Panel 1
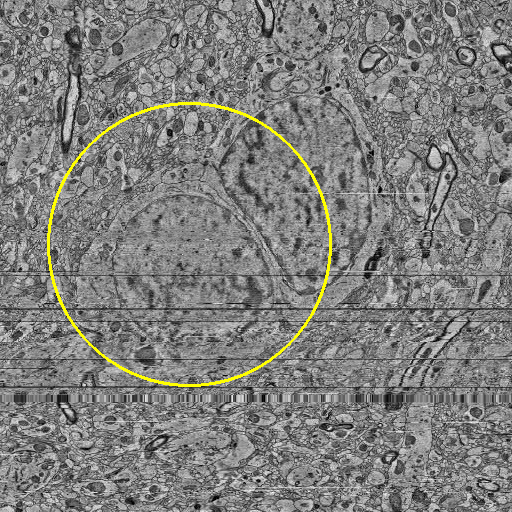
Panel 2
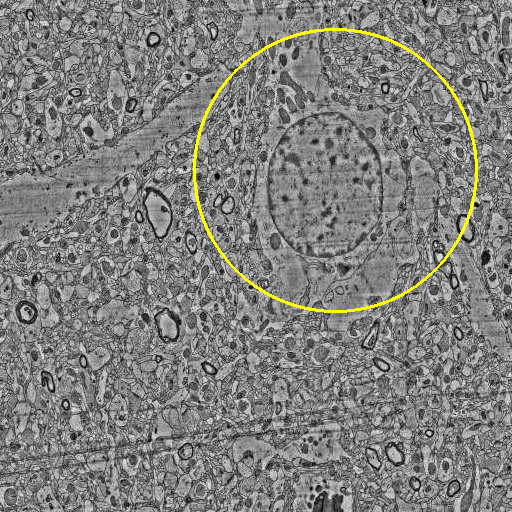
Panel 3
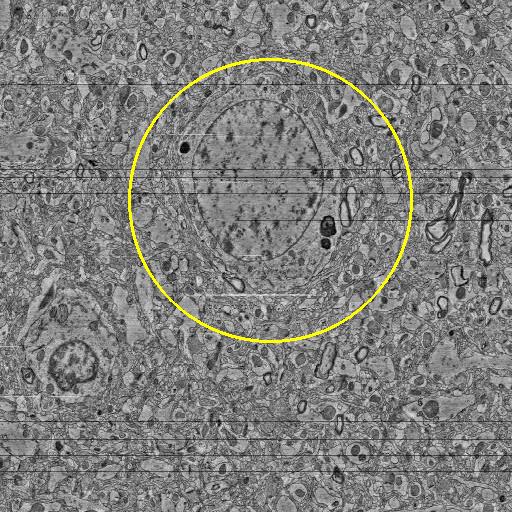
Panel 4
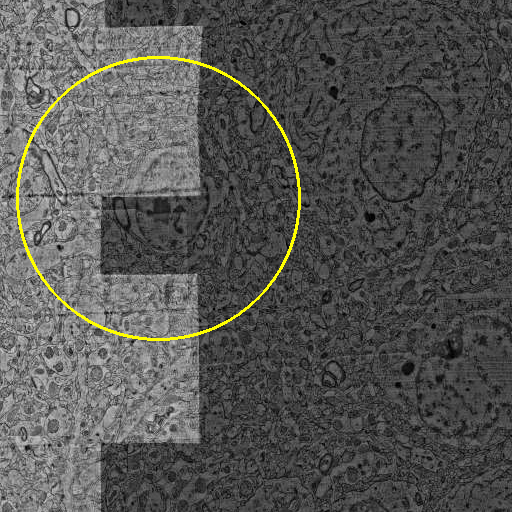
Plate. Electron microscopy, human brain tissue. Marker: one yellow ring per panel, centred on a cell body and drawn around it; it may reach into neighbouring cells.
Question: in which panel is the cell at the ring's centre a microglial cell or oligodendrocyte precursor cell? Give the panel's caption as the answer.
Panel 4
